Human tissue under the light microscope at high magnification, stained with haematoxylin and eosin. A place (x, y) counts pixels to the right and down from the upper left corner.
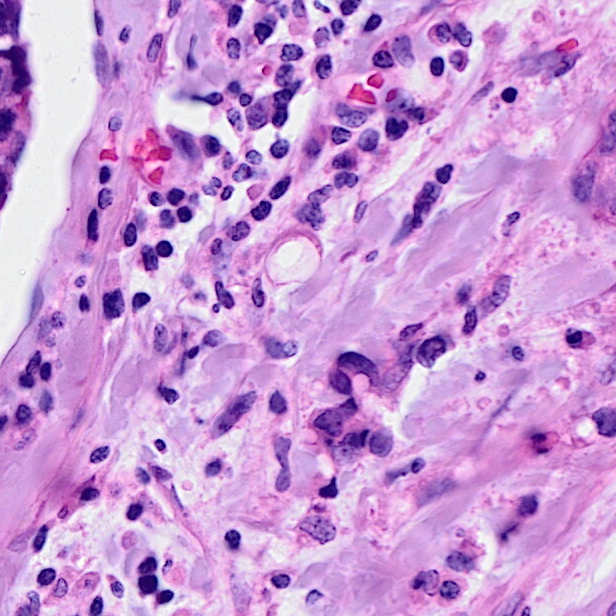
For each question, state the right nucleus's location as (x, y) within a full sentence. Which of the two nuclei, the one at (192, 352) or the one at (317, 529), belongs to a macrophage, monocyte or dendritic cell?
The cell to which the nucleus at (317, 529) belongs is a macrophage, monocyte or dendritic cell.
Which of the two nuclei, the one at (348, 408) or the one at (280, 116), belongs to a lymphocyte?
The pair contains one nucleus of a lymphocyte, namely the one at (280, 116).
